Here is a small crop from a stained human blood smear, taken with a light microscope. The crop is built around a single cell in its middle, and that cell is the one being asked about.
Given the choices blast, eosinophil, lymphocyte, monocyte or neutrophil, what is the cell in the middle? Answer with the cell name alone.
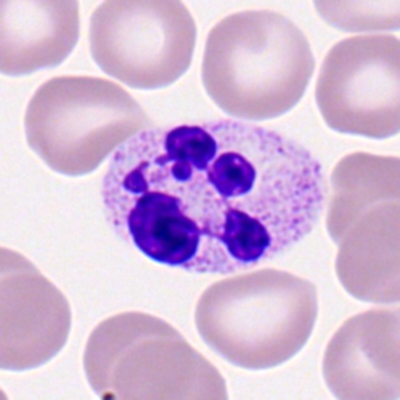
neutrophil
